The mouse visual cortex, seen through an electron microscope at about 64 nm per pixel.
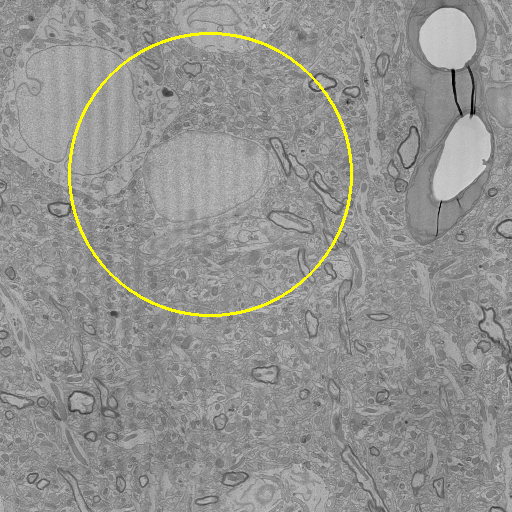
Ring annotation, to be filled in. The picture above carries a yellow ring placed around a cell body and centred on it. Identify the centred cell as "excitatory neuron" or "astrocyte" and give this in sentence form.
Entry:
The cell in the middle of the ring is an astrocyte.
